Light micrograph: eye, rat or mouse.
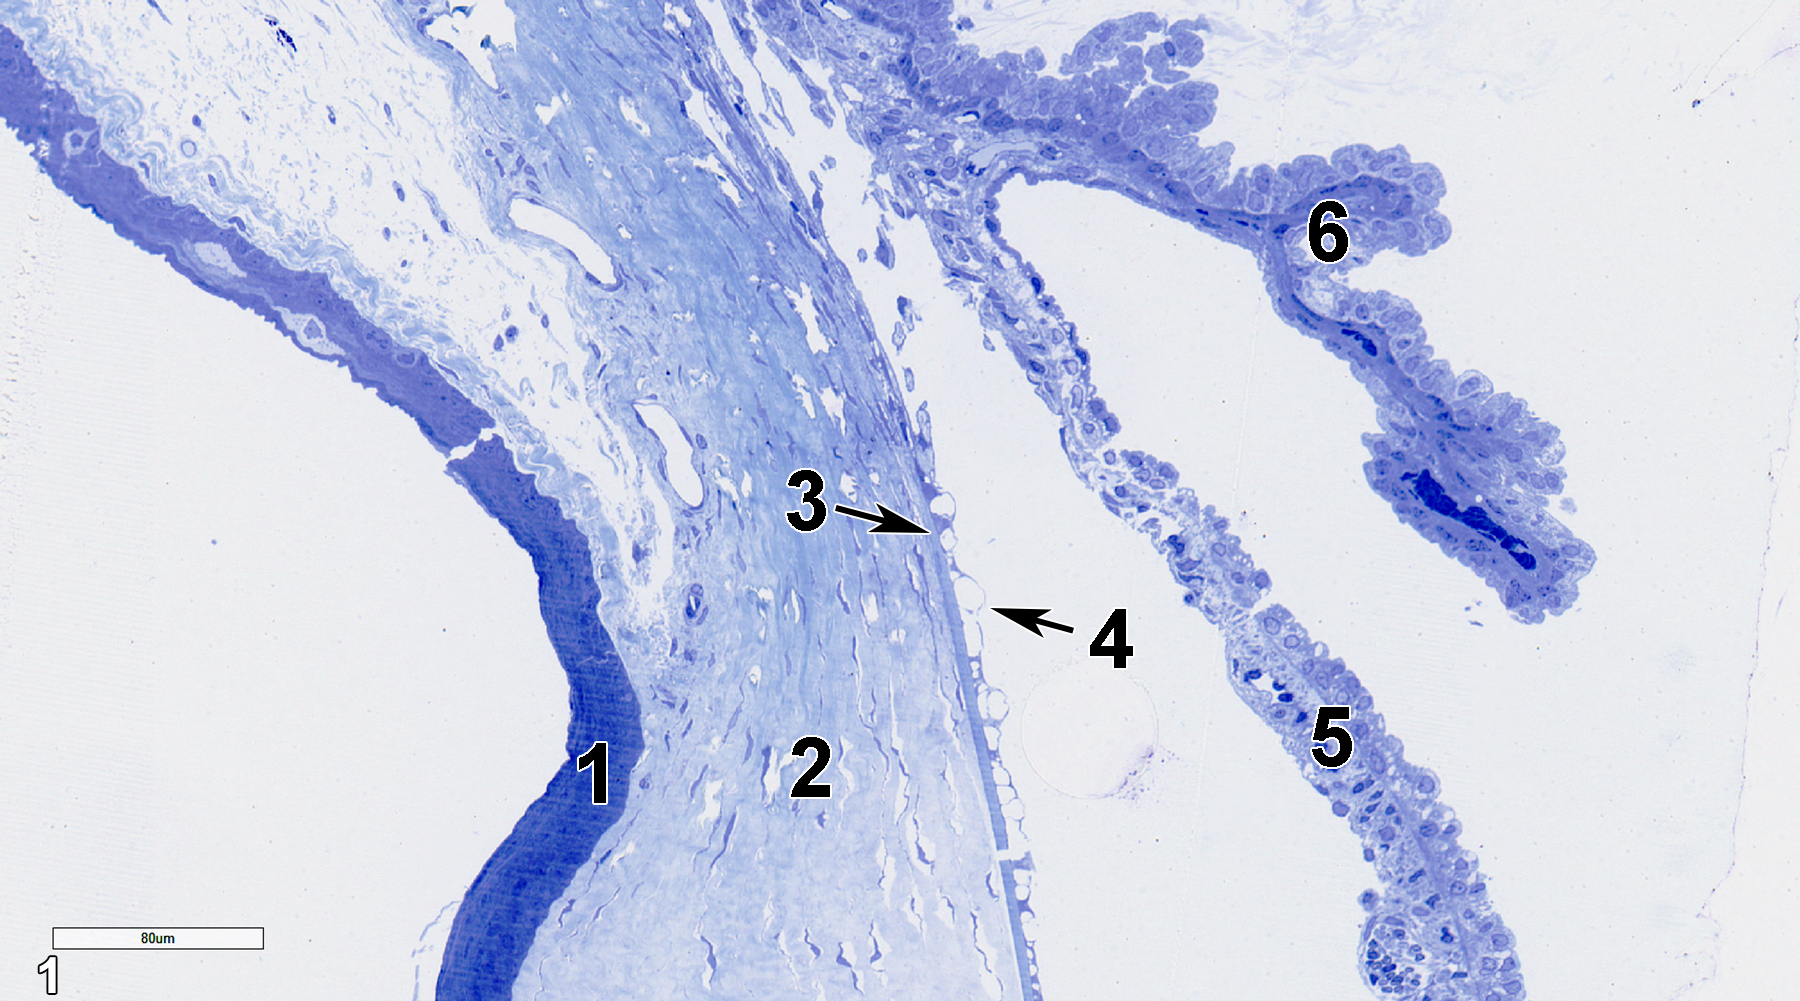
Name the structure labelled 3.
The number 3 marks the Descemet’s membrane.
